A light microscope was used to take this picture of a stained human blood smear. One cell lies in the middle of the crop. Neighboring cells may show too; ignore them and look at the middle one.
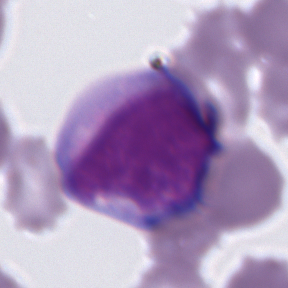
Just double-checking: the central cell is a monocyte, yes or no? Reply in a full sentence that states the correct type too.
No, rather than being a monocyte, the central cell is a myeloblast.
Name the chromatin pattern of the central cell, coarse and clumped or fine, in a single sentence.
Chromatin texture is fine, and coarse clumps are absent.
